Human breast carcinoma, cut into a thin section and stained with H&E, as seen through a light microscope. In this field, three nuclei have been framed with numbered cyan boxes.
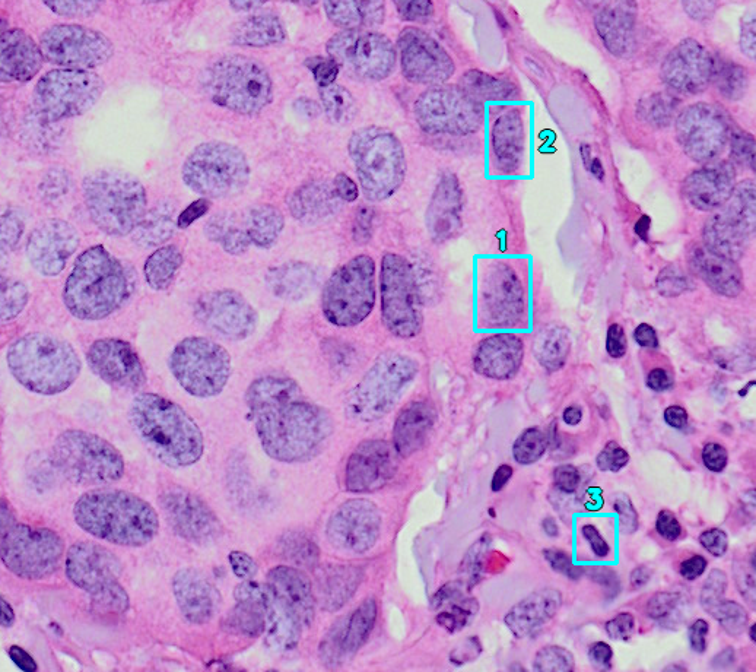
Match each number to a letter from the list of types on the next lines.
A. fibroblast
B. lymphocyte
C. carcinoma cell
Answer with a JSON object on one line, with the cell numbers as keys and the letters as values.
{"1": "C", "2": "C", "3": "B"}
